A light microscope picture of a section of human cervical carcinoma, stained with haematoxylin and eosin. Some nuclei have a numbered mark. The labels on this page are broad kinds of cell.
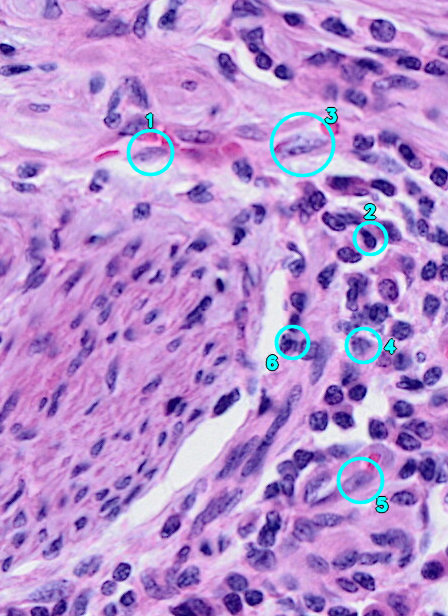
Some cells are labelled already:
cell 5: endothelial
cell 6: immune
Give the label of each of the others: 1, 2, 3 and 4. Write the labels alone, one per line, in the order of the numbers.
endothelial
immune
endothelial
immune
